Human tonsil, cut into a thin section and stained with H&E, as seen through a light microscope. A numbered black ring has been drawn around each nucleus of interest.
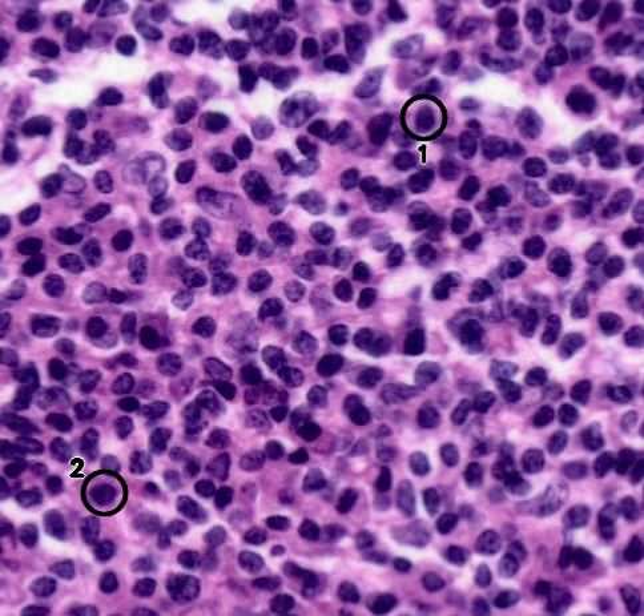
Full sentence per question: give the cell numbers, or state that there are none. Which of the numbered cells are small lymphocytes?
Cell 1 stands alone among the numbered cells as a small lymphocyte.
